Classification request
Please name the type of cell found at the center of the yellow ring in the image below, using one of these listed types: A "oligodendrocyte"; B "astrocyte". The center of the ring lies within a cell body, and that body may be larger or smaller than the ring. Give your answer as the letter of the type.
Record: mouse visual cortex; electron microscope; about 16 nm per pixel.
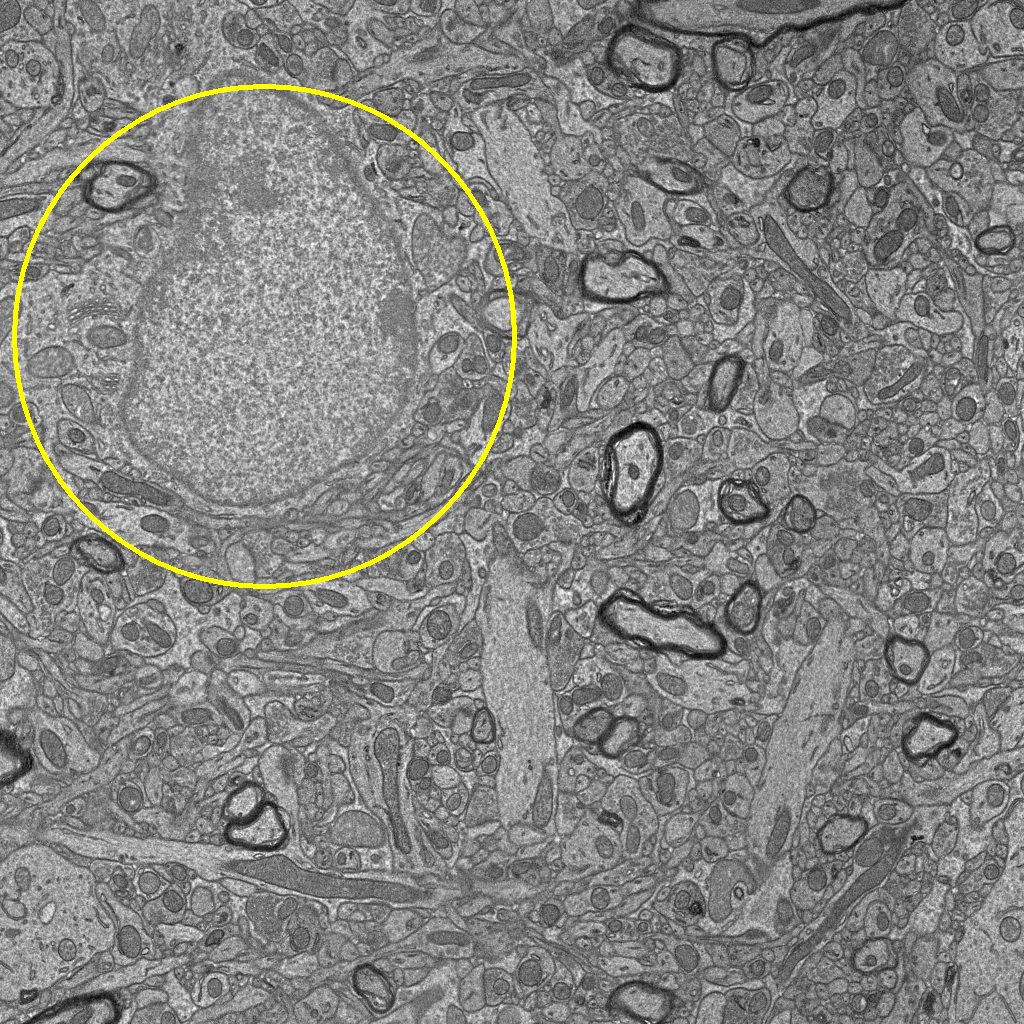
B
